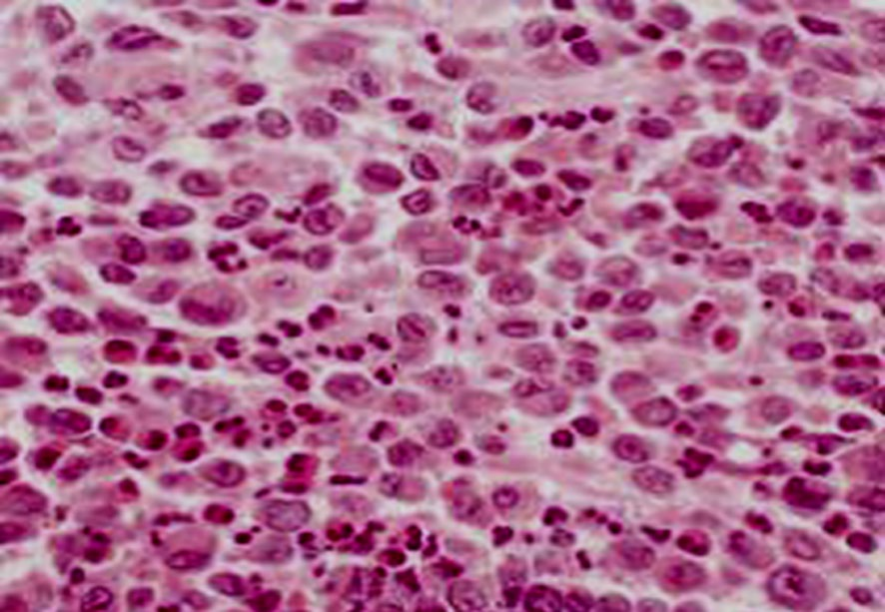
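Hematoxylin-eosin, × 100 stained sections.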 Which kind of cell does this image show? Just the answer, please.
Langerhans cells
